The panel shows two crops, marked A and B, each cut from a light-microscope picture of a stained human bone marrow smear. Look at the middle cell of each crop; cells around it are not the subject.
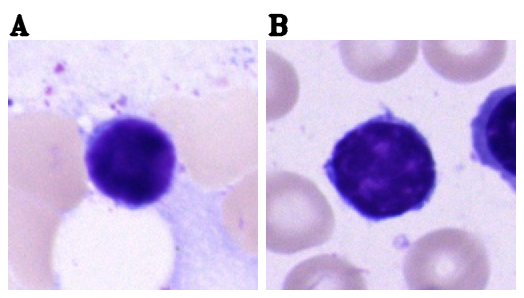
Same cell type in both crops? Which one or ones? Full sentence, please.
Yes, the middle cells in the two crops are lymphocytes.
